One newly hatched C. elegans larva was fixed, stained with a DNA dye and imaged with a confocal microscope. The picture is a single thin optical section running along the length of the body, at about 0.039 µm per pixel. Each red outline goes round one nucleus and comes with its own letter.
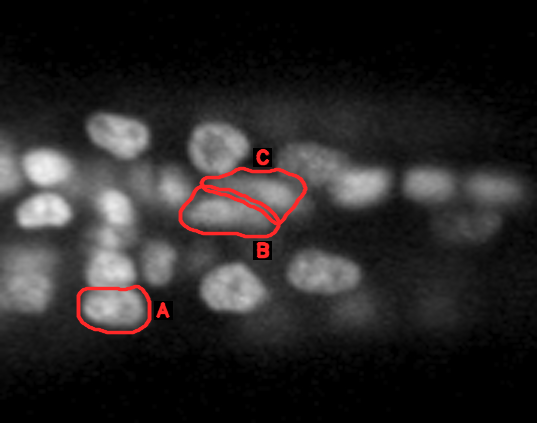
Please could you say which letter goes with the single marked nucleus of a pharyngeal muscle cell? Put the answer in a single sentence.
The one from a pharyngeal muscle cell is B.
